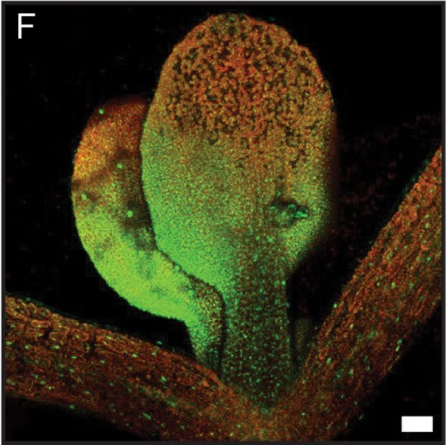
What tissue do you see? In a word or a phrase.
Primary leaves.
